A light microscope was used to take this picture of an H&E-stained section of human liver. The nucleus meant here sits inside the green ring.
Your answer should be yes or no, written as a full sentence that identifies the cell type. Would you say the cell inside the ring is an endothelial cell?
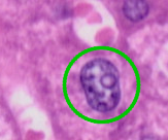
No, the cell inside the ring is reported as a hepatocyte rather than an endothelial cell.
